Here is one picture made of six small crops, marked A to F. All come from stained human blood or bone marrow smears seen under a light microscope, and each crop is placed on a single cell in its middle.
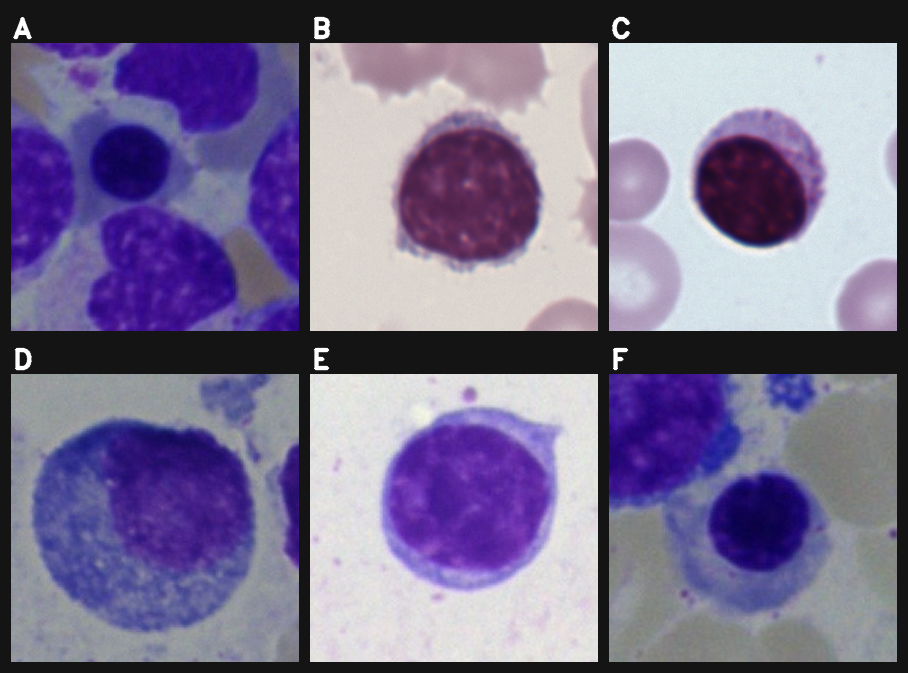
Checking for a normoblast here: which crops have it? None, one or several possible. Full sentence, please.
Shown at the centre of crops A and F are normoblasts.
